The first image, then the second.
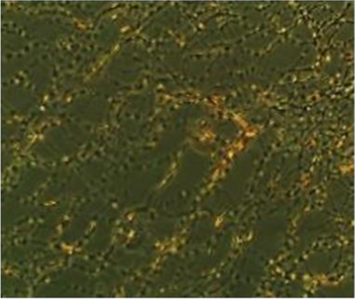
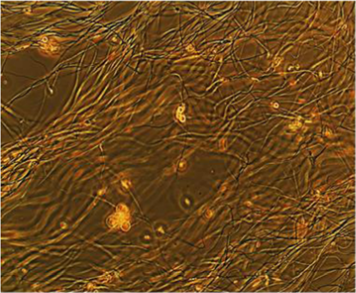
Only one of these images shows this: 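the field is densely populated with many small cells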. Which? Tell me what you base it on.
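First image: numerous small rounded cells are scattered densely over the whole field. Second image: long fibers dominate the field with only a few scattered rounded cell clusters.
Conclusion: the first image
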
